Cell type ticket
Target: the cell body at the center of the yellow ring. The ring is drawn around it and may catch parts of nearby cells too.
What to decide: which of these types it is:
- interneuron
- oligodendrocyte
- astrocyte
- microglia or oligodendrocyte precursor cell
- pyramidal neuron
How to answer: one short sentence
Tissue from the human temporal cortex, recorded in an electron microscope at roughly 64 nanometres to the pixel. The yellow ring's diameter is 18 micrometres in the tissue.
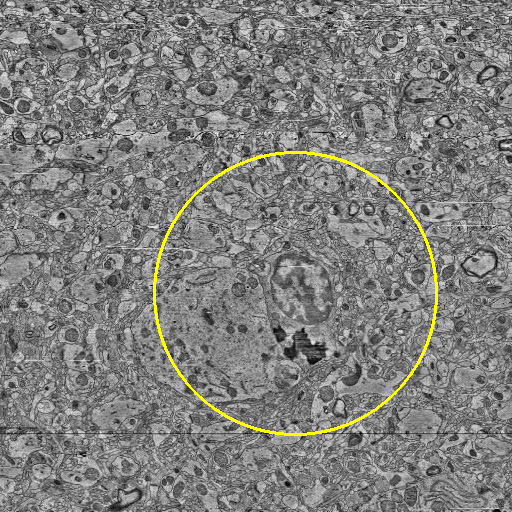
The cell at the center of the ring is an oligodendrocyte.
